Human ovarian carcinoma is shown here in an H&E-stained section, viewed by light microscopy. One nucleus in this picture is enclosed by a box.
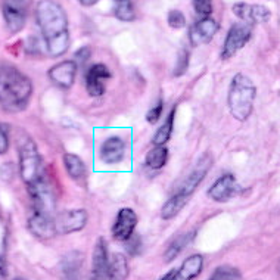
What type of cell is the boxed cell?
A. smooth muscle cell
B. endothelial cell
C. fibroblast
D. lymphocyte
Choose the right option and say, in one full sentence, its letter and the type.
Option D is correct in that the boxed cell is a lymphocyte.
